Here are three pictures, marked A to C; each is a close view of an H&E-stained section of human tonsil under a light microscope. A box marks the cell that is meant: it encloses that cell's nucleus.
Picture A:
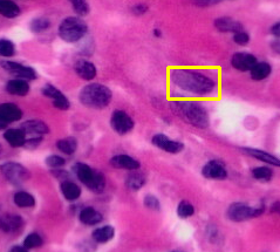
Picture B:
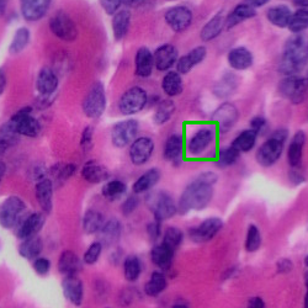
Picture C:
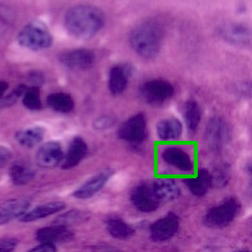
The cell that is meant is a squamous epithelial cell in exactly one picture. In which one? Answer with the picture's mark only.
C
